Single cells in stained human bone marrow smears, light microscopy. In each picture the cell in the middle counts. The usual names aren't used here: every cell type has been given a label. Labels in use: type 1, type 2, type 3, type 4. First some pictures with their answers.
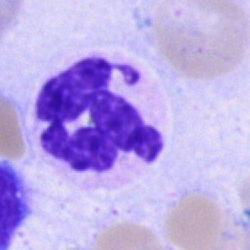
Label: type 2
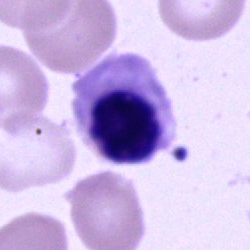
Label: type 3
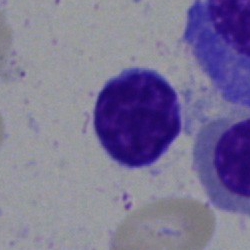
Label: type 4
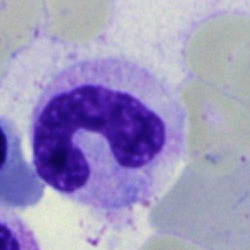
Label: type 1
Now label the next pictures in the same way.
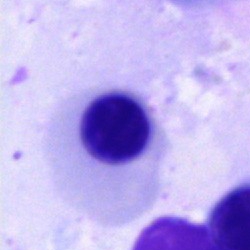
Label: type 3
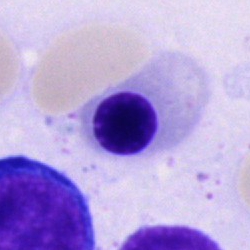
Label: type 3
